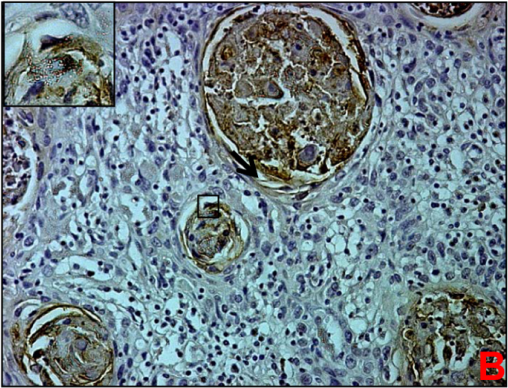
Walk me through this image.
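Several keratin pearls lie within a cellular stroma. The surrounding stroma contains many small cells with blue nuclei and little staining. The largest nest contains enlarged cells with irregular nuclei amid the layered material.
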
